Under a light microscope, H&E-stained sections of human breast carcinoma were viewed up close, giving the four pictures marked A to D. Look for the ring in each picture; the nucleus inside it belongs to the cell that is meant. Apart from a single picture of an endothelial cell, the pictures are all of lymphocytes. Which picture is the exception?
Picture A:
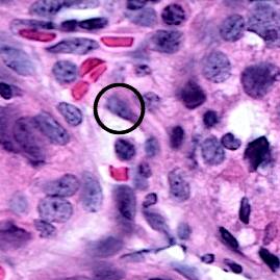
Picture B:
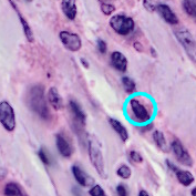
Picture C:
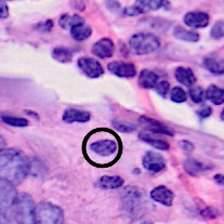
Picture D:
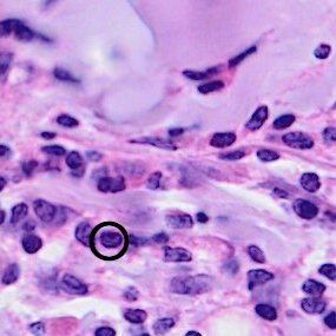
A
